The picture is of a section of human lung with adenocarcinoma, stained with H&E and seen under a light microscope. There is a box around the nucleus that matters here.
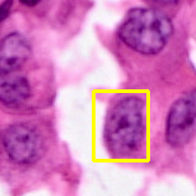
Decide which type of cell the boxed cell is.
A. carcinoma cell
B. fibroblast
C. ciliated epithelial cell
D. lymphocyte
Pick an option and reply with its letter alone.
A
